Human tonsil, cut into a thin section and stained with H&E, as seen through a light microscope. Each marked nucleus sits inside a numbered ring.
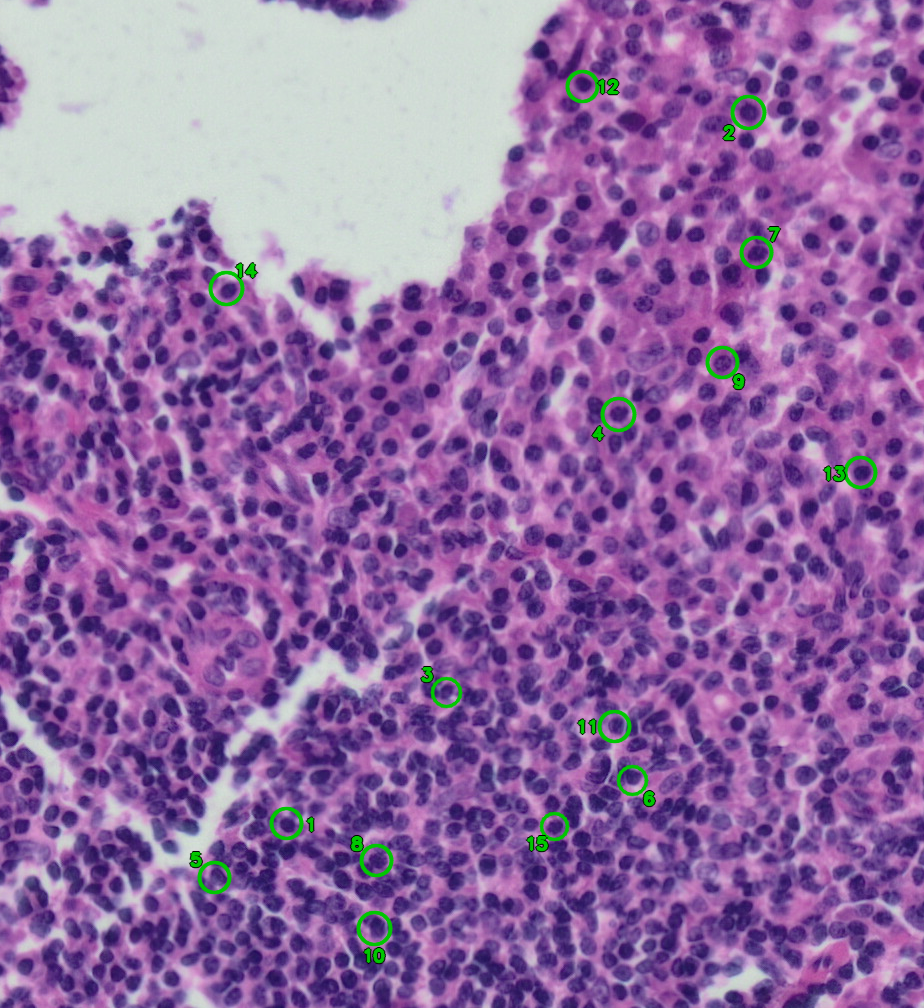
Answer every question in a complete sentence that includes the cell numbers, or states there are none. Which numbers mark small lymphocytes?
Cells numbered 1, 3, 5, 6, 8, 10, 11 and 15 belong to the group of small lymphocytes.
